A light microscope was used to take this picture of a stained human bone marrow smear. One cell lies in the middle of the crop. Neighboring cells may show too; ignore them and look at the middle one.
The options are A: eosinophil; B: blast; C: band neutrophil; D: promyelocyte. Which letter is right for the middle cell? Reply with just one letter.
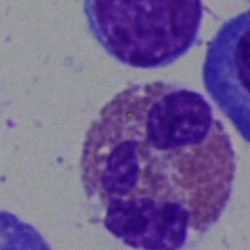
A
